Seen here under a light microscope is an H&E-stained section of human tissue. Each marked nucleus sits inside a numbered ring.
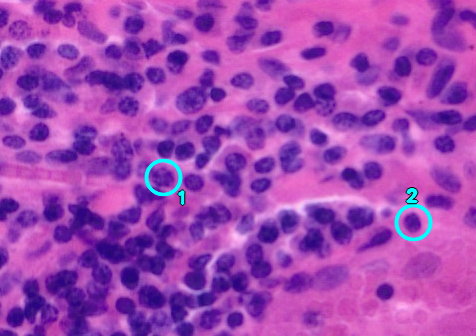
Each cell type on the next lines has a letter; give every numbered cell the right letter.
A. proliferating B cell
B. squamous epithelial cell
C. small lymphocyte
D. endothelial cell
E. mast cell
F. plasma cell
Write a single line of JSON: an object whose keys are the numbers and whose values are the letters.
{"1": "F", "2": "E"}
